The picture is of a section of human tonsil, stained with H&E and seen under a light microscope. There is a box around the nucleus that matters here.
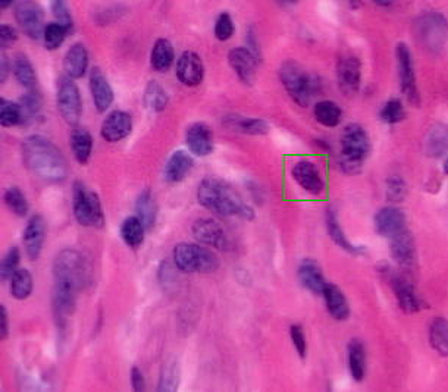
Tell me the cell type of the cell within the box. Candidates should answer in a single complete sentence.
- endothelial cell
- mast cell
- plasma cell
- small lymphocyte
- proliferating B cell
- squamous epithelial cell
As to its cell type, the cell within the box is a mast cell.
